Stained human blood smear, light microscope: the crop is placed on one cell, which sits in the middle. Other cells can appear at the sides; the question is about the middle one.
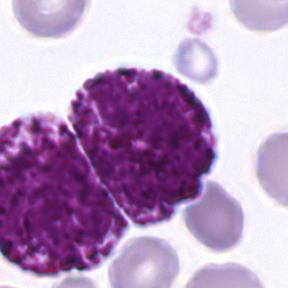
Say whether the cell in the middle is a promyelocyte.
no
